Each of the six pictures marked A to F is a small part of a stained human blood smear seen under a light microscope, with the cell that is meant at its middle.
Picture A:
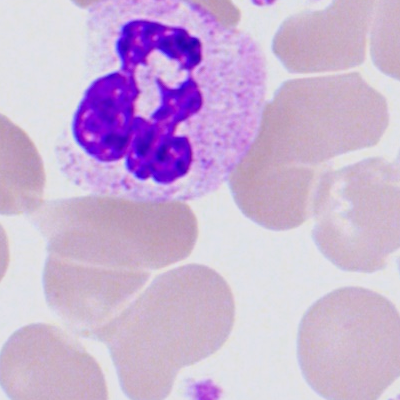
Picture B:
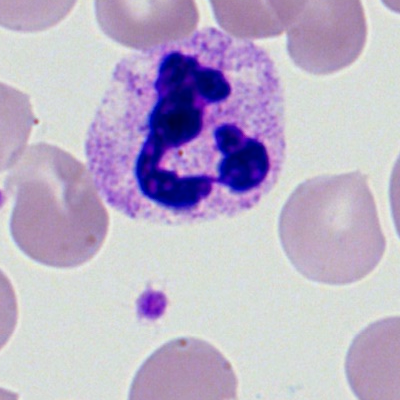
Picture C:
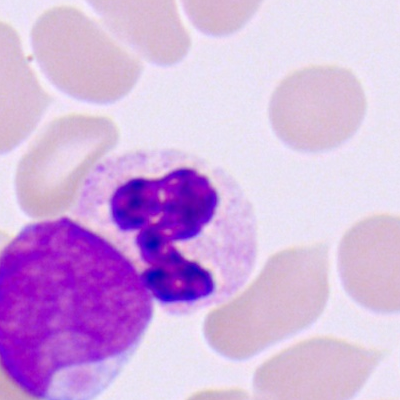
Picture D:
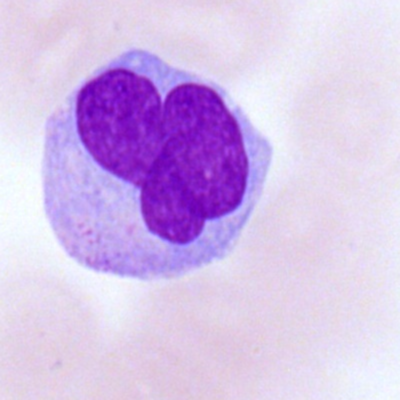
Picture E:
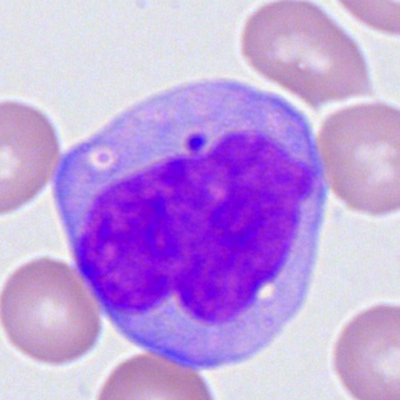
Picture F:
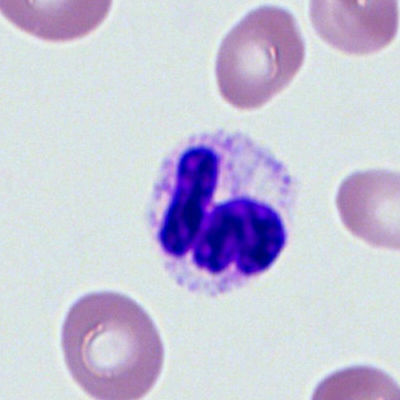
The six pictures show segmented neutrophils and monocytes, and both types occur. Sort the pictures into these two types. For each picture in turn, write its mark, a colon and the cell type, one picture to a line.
A: segmented neutrophil
B: segmented neutrophil
C: segmented neutrophil
D: monocyte
E: monocyte
F: segmented neutrophil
